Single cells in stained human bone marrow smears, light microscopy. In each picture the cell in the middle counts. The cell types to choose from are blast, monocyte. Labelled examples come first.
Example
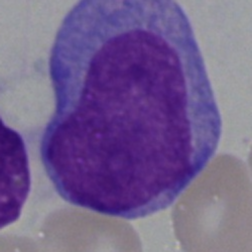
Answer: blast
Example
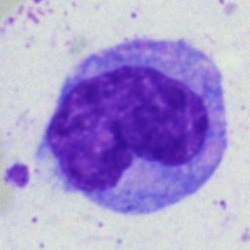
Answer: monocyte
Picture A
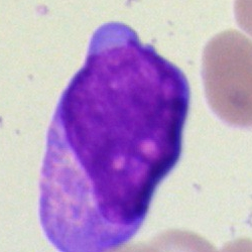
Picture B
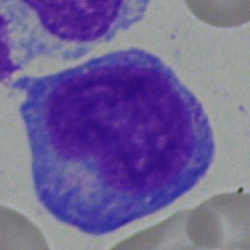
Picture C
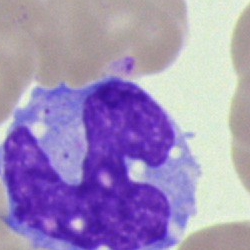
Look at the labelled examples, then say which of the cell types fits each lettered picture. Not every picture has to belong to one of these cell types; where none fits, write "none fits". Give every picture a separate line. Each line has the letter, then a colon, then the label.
A: blast
B: blast
C: monocyte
